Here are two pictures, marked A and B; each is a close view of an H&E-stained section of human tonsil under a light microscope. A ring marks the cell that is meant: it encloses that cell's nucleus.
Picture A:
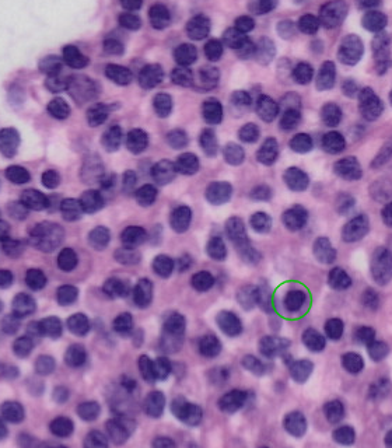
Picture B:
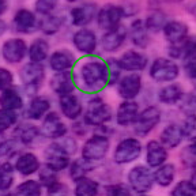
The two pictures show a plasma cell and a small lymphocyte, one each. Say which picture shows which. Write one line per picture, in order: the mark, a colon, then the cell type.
A: plasma cell
B: small lymphocyte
